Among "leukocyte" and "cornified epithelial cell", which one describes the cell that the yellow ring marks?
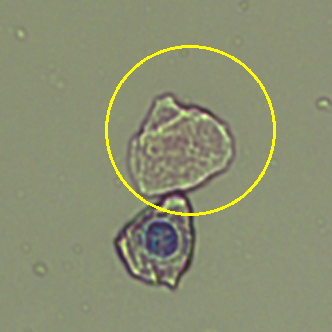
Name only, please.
cornified epithelial cell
